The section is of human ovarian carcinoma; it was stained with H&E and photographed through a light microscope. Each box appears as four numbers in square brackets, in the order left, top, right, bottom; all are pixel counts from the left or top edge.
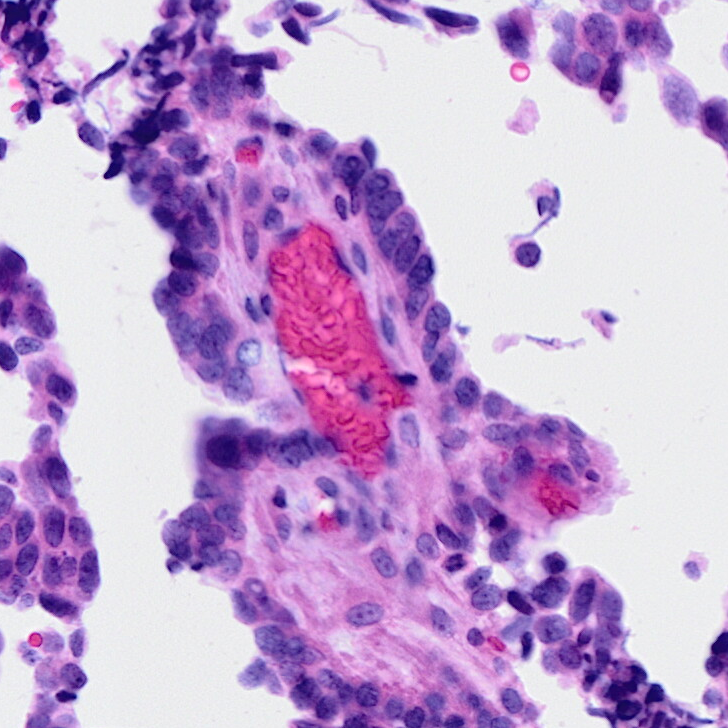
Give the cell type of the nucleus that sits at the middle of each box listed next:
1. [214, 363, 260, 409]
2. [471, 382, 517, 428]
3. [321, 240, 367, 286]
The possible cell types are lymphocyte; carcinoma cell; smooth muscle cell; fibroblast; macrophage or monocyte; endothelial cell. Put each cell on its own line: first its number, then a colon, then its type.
1: carcinoma cell
2: carcinoma cell
3: endothelial cell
